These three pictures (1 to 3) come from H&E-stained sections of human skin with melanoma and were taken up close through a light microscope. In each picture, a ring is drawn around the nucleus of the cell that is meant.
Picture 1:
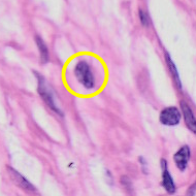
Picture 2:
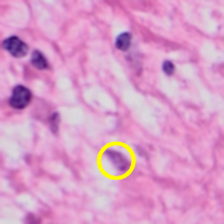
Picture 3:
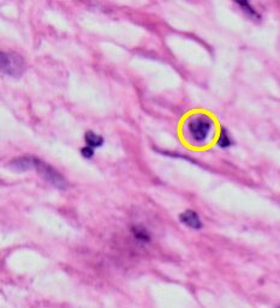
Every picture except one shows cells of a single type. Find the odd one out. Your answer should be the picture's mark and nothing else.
2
